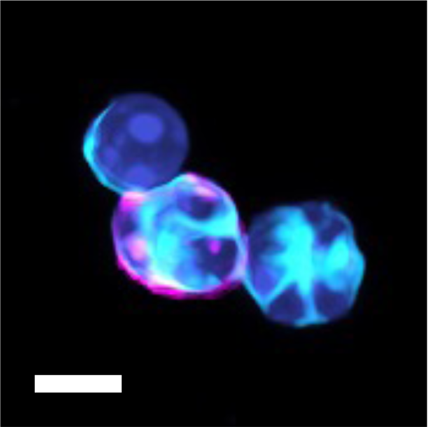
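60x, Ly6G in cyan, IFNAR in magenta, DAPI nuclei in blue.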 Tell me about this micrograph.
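Cyan signal forms irregular streaks and patches over the two right-hand cells and a thin crescent along the edge of the upper left cell. Magenta signal outlines the border of the middle cell, strongest along its left edge, while the other two cells show little magenta.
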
